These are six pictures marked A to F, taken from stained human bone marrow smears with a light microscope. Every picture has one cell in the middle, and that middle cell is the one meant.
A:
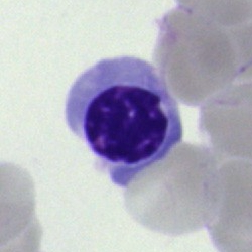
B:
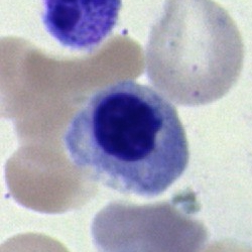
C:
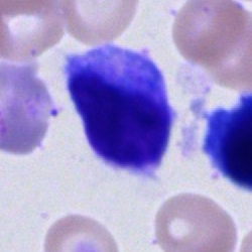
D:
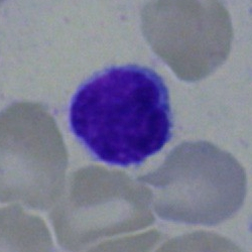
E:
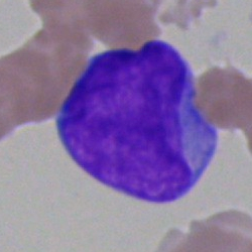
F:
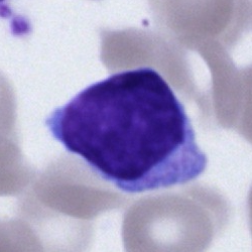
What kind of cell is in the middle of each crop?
A: erythroblast
B: erythroblast
C: lymphocyte
D: lymphocyte
E: blast
F: lymphocyte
